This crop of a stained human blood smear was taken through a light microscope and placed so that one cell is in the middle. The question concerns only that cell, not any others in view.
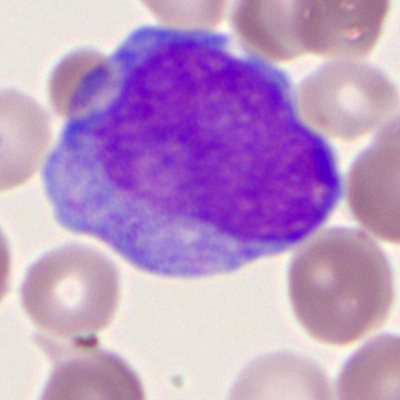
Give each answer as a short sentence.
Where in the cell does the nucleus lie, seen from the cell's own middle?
It is shifted toward the upper right of the cell.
